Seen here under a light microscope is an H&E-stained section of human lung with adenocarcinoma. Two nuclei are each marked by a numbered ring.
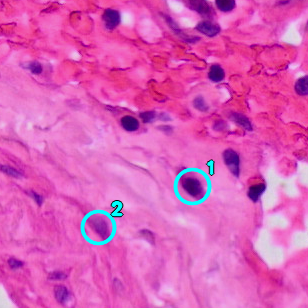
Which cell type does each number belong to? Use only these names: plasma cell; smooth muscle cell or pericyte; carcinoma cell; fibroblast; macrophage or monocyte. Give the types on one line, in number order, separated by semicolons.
plasma cell; smooth muscle cell or pericyte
